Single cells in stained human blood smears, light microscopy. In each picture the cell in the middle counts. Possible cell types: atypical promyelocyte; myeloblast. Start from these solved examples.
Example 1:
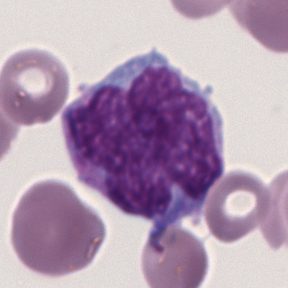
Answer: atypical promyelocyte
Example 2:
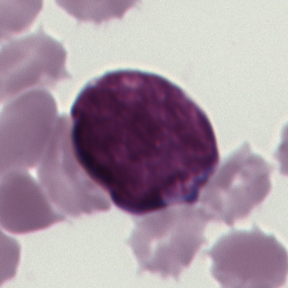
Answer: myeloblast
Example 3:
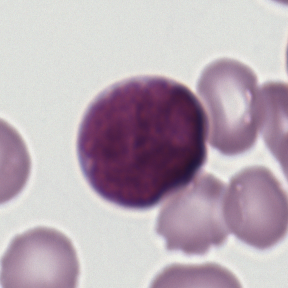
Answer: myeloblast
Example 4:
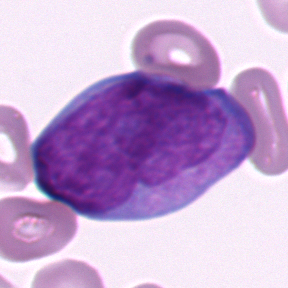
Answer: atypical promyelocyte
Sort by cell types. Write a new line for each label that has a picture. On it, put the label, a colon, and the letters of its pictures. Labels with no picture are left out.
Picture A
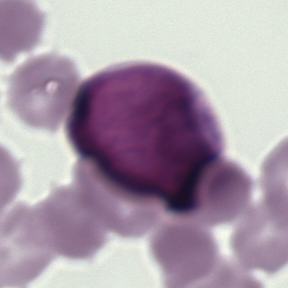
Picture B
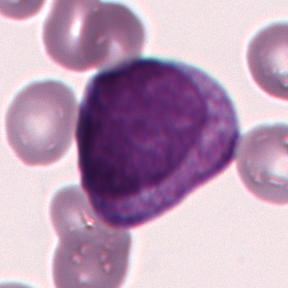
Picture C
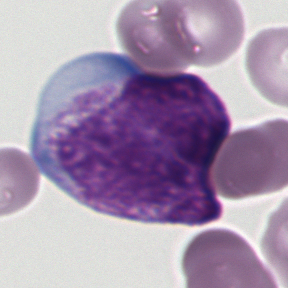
atypical promyelocyte: B, C
myeloblast: A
